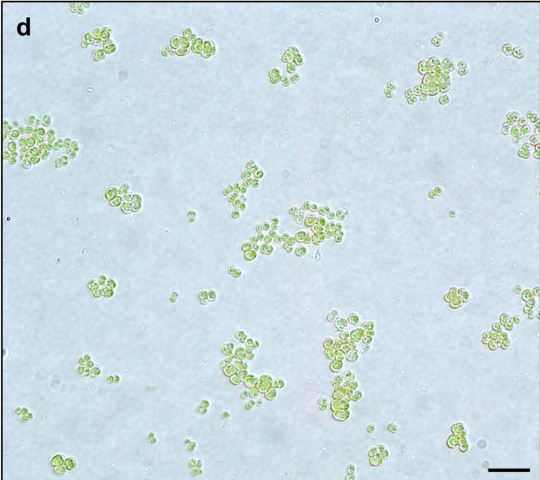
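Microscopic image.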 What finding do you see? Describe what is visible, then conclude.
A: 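Many small round green cells lie packed together in clumps. Clusters of a dozen or more cells are scattered across the field. Few cells lie alone between the clumps. On this evidence: cell aggregation.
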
